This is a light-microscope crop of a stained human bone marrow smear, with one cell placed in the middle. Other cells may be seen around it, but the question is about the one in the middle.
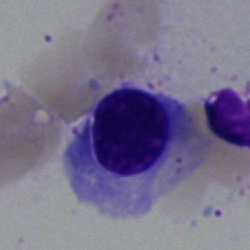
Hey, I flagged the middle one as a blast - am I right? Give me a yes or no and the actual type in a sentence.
No, the cell in the middle is correctly named an erythroblast, not a blast.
